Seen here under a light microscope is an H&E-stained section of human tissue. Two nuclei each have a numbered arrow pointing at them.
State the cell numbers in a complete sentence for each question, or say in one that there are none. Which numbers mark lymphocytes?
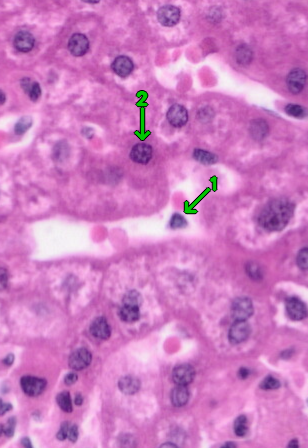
Only at number 1 is there a lymphocyte among the marked cells.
